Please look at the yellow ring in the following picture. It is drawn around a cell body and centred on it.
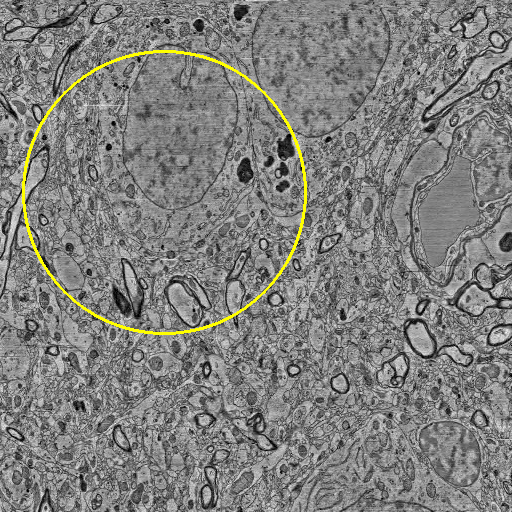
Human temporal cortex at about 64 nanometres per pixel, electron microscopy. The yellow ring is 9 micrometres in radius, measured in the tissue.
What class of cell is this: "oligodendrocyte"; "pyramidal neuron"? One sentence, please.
The ring surrounds the cell body of a pyramidal neuron.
